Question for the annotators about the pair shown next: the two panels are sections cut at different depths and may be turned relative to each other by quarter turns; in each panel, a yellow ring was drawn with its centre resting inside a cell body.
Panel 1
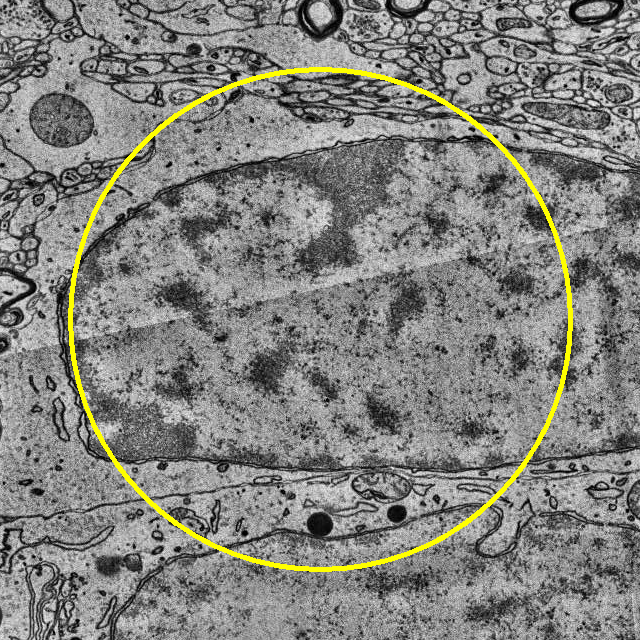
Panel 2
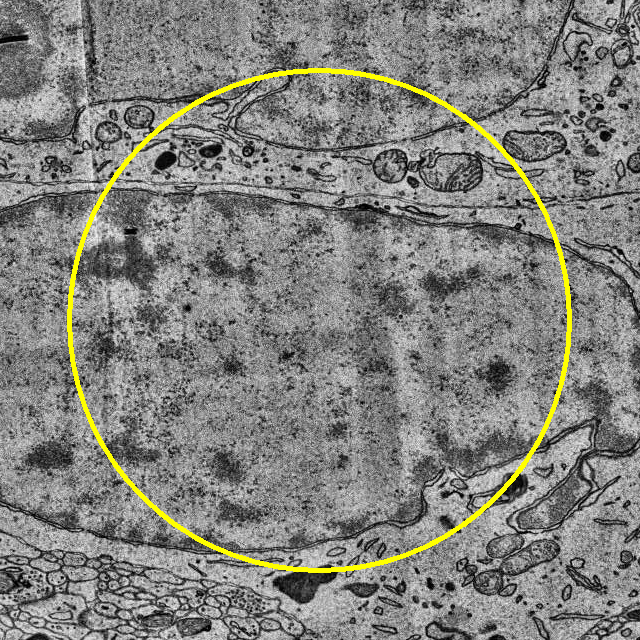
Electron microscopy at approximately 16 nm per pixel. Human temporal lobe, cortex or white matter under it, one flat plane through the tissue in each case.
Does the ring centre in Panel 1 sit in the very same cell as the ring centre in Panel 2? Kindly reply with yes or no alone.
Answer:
yes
